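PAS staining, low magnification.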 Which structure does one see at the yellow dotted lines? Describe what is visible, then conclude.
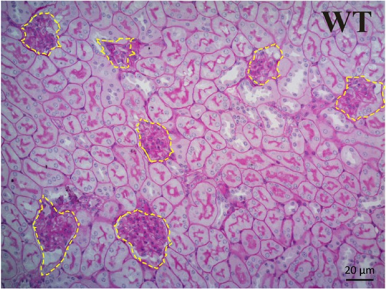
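The clusters lie scattered among cross-sectioned tubules. They stain more darkly magenta than the surrounding tubules. That points to this answer: glomerulus.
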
